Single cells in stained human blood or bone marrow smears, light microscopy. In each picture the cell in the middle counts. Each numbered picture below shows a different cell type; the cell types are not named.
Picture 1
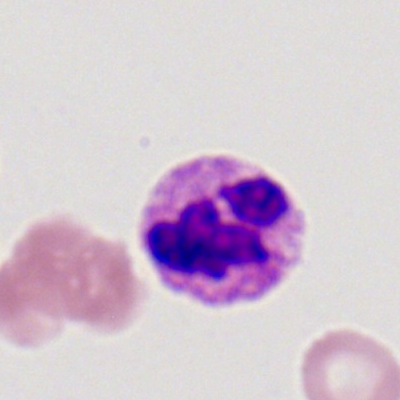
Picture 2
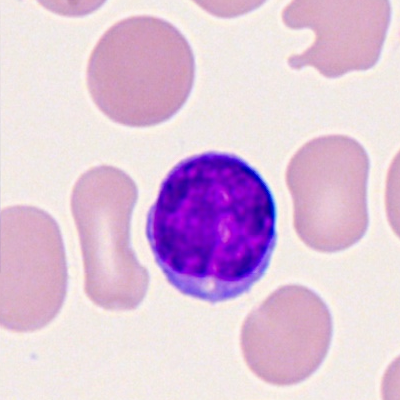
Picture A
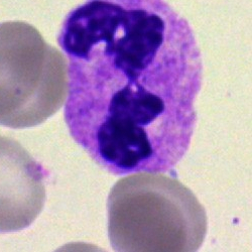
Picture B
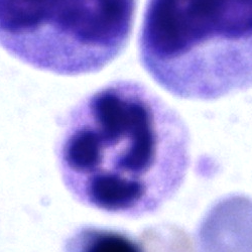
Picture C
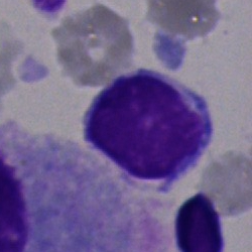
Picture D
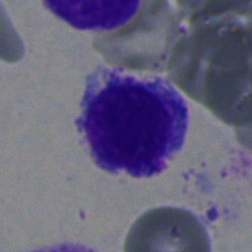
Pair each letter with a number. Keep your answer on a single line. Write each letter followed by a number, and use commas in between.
A 1, B 1, C 2, D 2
